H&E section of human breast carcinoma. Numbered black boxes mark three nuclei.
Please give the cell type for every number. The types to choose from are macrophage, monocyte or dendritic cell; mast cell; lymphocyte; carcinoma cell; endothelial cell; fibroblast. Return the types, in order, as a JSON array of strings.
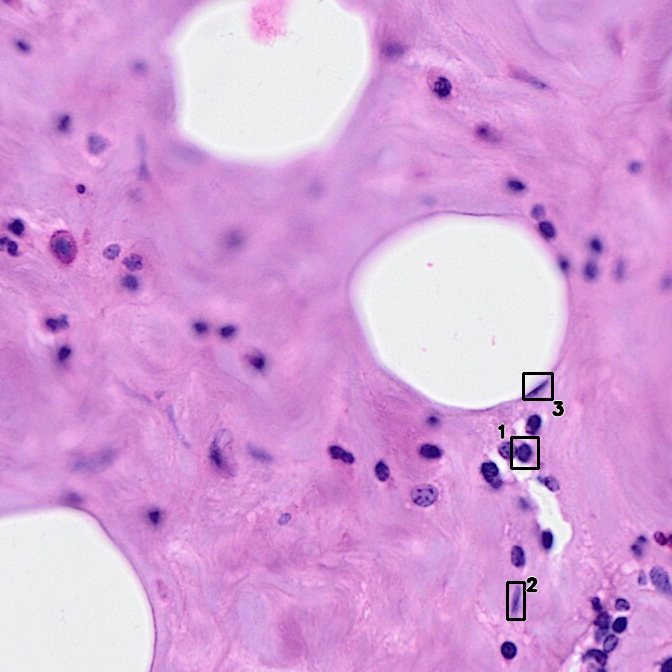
["lymphocyte", "fibroblast", "fibroblast"]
